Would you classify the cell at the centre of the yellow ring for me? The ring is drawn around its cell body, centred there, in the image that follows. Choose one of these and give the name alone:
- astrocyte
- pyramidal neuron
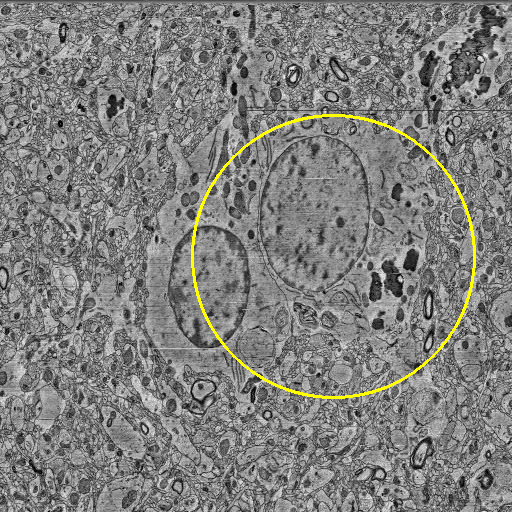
astrocyte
